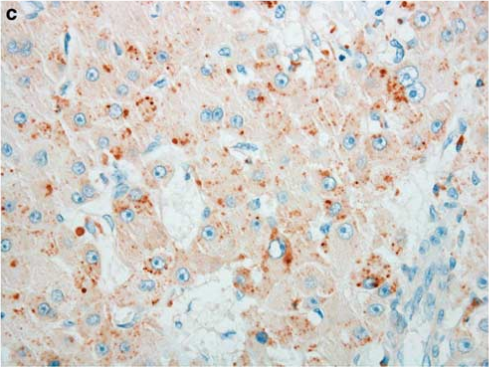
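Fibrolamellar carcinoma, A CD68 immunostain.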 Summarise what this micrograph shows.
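Large polygonal tumor cells with blue round nuclei and distinct nucleoli, their cytoplasm holding coarse brown granules in varying amounts. The nuclei and the pale stroma between cell groups are free of the brown granules.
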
